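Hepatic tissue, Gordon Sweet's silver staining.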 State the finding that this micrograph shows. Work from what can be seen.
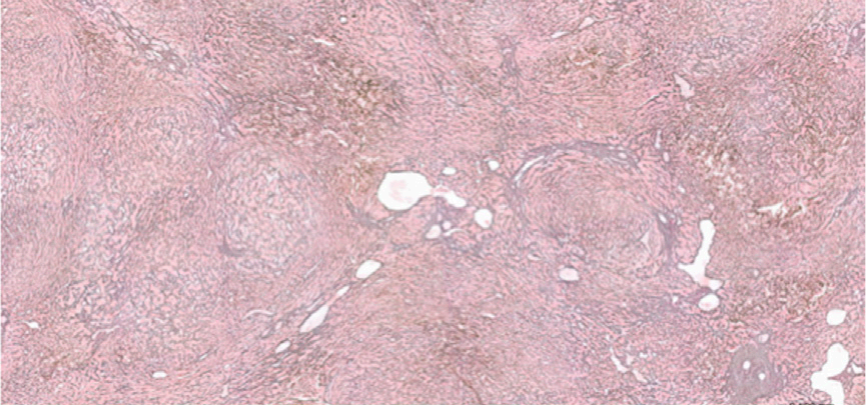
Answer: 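Nodular architecture. Rounded zones of parenchyma are outlined by curving, condensed dark fibre networks. Between the rounded zones the fibre pattern looks compressed and denser.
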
